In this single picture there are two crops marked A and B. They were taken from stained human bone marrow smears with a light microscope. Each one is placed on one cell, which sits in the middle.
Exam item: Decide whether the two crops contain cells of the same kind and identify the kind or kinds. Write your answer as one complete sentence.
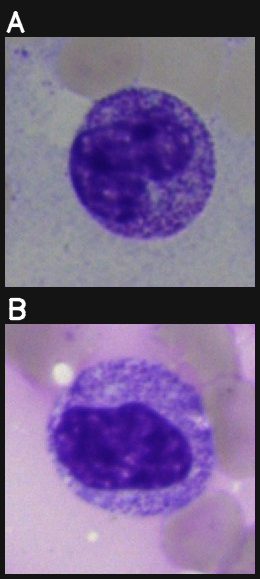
Yes, the cells at the centre of both crops are metamyelocytes.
